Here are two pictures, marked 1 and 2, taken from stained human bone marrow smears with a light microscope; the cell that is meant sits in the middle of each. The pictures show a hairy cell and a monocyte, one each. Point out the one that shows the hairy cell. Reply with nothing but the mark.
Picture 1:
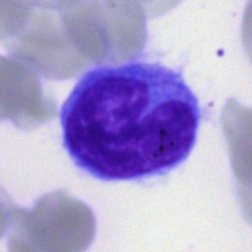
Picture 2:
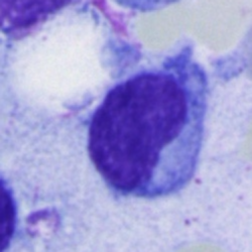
2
